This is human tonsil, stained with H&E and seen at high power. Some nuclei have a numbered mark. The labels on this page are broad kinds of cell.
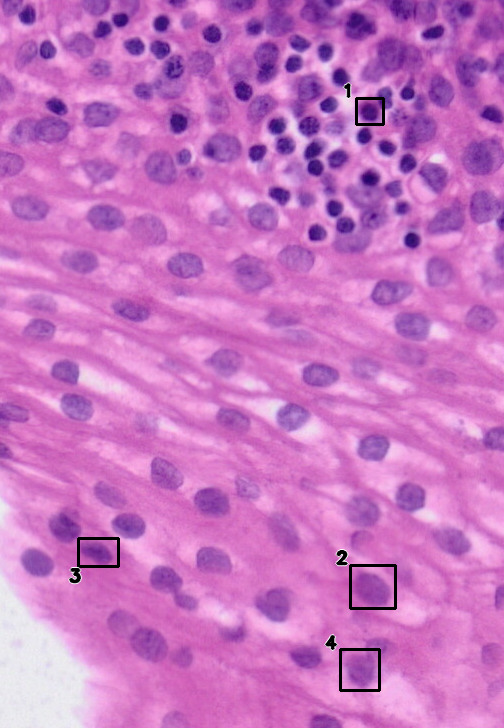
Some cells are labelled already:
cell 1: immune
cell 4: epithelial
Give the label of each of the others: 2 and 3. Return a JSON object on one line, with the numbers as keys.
{"2": "epithelial", "3": "epithelial"}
